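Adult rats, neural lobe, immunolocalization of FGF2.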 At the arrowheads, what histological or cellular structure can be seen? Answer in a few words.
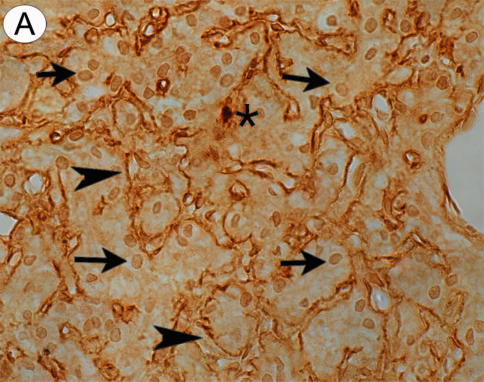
basement membranes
